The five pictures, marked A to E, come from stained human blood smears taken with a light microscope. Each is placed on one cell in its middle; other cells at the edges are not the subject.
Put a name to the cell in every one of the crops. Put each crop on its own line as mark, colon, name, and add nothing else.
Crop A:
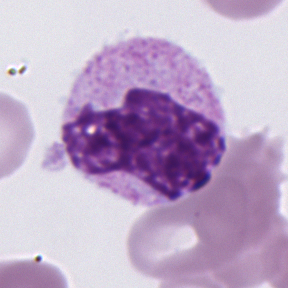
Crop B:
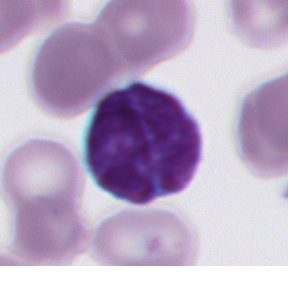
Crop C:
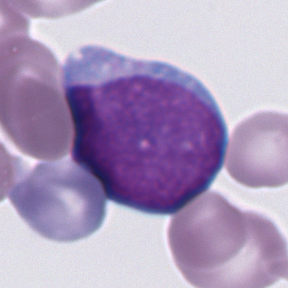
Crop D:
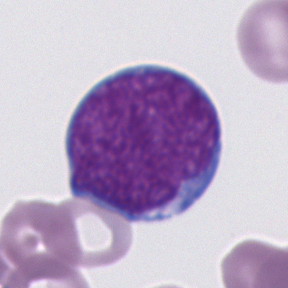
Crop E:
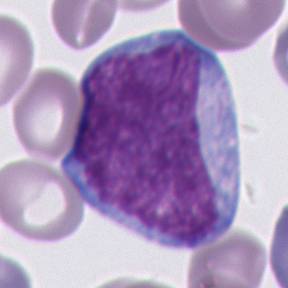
A: segmented neutrophil
B: typical lymphocyte
C: myeloblast
D: myeloblast
E: promyelocyte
